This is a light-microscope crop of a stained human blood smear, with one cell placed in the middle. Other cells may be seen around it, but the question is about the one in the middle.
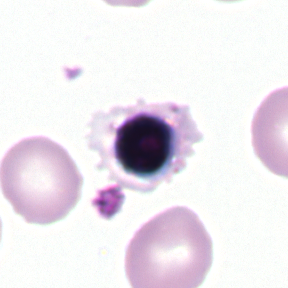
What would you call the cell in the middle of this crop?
normoblast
